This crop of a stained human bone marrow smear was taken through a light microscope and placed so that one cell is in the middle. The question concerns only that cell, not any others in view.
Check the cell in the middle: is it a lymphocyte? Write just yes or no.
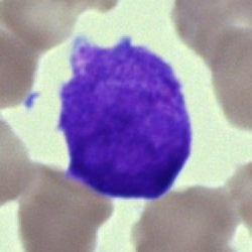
no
